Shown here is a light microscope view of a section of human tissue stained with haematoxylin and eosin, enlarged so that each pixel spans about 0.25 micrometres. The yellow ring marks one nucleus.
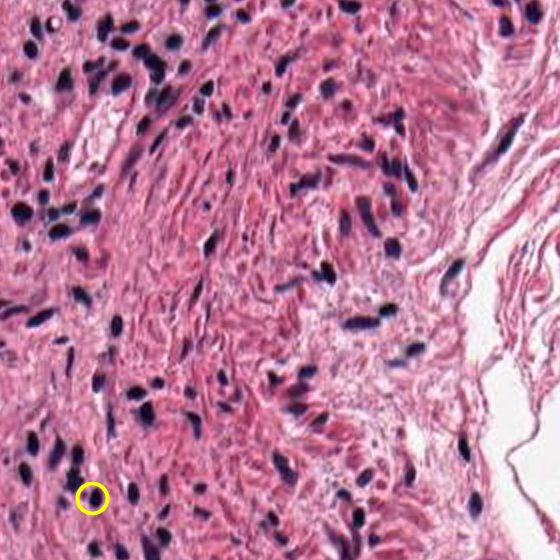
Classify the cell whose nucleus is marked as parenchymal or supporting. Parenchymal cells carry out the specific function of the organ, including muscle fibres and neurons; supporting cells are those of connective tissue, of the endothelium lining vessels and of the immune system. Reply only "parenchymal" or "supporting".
supporting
